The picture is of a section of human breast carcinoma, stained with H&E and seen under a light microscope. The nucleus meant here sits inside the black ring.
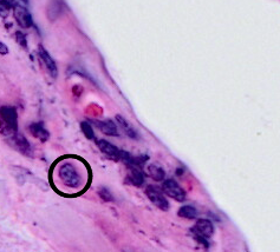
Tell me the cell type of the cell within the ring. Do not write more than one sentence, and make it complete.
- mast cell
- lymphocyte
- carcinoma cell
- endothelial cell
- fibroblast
Labelled by cell type, the cell within the ring is a mast cell.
